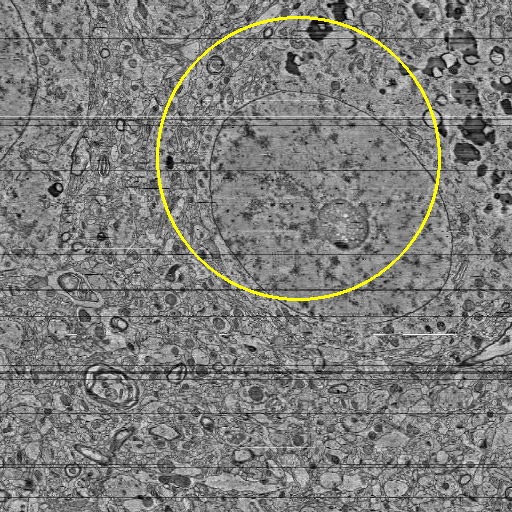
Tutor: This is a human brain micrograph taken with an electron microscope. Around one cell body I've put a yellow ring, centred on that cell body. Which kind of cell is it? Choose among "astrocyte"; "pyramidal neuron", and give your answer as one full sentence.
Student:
Going by your list, the cell centred in the yellow ring is a pyramidal neuron.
